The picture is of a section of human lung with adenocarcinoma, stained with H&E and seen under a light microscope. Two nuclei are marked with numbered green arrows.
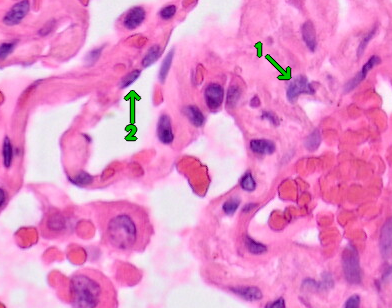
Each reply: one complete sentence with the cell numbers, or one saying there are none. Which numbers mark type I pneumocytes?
Cell 2 is a type I pneumocyte, whereas each of the other numbered cells is not.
